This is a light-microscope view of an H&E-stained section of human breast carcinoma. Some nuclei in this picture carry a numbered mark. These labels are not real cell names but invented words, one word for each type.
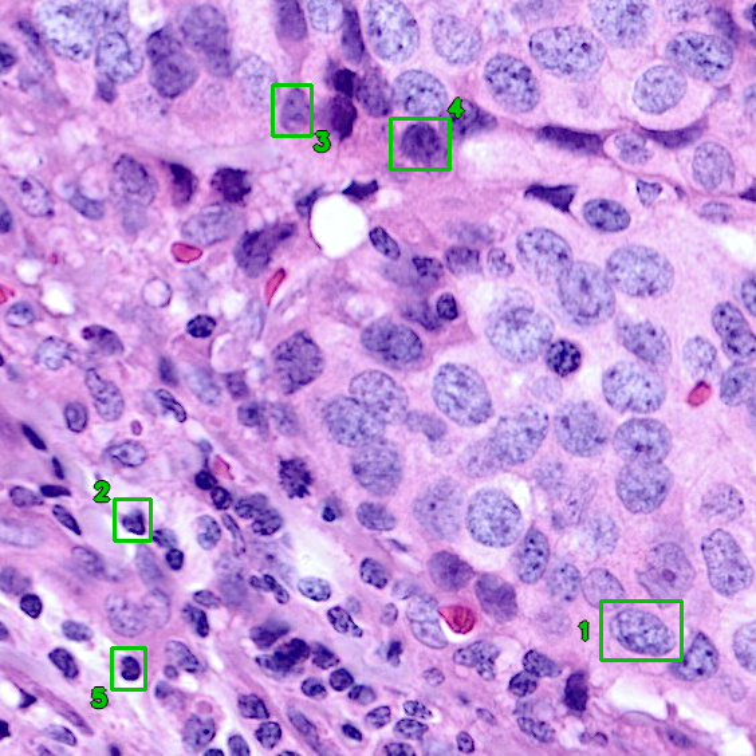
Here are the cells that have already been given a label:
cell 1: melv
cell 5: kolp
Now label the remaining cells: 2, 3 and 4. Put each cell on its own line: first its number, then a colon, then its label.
2: kolp
3: melv
4: melv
